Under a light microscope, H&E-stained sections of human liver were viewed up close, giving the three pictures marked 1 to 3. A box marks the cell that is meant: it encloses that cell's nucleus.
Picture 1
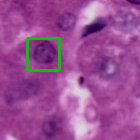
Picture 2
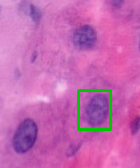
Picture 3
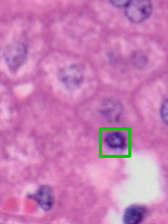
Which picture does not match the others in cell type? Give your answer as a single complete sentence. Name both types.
The different one is picture 3; it shows a “fibroblast or stellate cell”, whereas all the others show hepatocytes.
